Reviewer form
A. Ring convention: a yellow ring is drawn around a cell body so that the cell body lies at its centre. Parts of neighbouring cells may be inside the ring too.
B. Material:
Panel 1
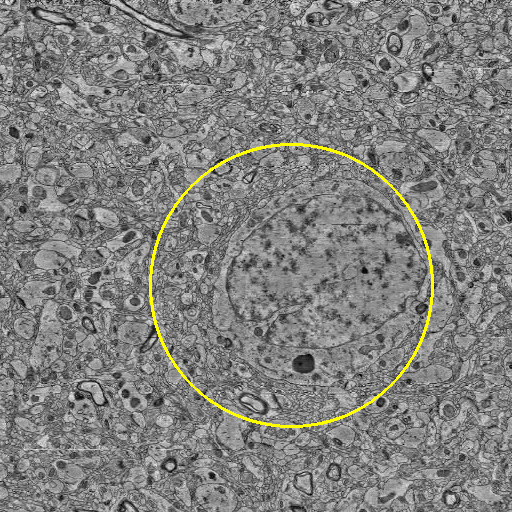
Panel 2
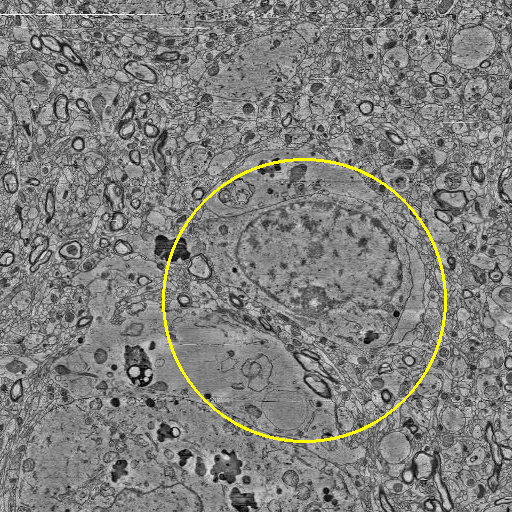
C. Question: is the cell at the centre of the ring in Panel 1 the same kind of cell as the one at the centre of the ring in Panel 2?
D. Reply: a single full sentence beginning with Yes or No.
Yes, the cells in Panel 1 and Panel 2 are the same kind of cell.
